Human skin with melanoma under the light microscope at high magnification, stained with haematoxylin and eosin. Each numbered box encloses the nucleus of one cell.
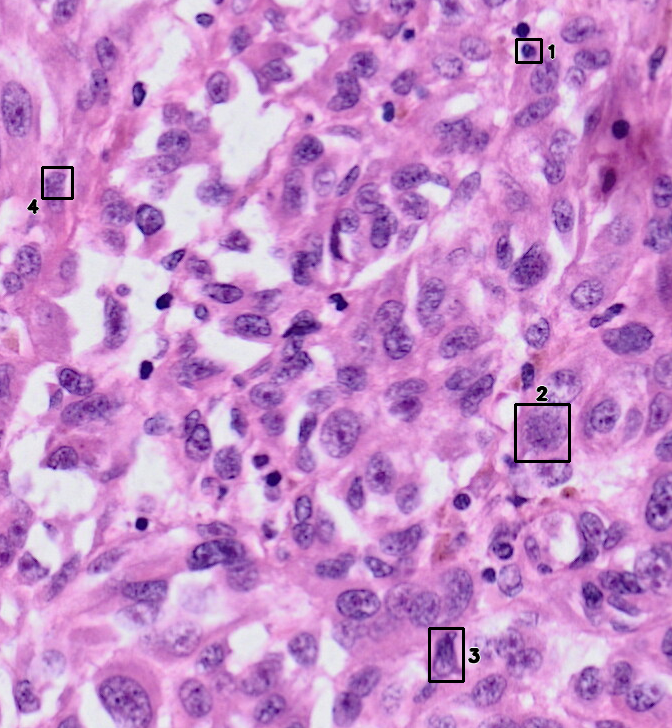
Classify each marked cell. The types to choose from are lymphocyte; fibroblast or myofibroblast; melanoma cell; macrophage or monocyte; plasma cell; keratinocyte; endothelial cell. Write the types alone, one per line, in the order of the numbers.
lymphocyte
melanoma cell
melanoma cell
melanoma cell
